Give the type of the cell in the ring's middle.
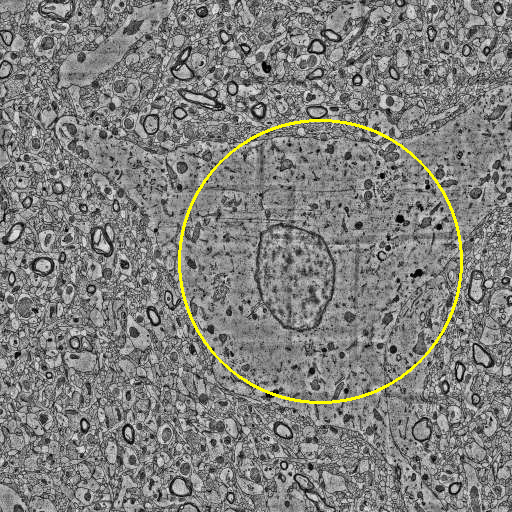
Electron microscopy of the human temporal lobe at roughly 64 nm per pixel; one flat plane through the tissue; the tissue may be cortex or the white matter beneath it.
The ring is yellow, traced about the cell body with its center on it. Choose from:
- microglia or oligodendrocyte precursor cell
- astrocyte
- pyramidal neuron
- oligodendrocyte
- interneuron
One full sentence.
Here, a pyramidal neuron is the cell lying at the center of the yellow ring.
